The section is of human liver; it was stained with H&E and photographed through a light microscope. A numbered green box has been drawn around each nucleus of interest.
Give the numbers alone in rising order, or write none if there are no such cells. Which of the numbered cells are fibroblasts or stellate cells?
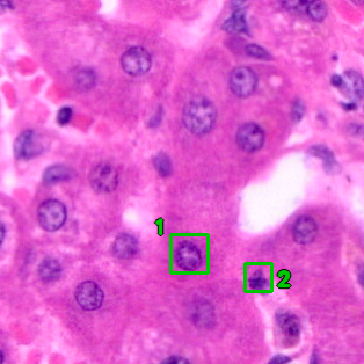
2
